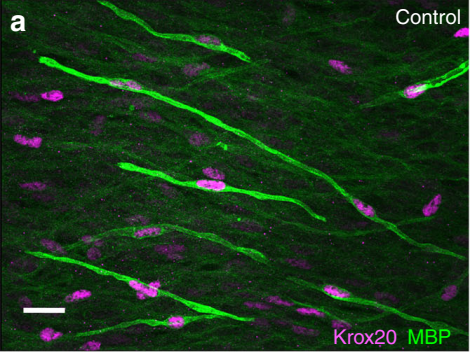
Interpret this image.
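This is a culture of Schwann cells aligned along nerve fibres, with many magenta nuclei. The strongly green cells are long spindles, each with a single elongated magenta nucleus in the middle and a tapering process at either end, all lying roughly parallel to one another along the fibres.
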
